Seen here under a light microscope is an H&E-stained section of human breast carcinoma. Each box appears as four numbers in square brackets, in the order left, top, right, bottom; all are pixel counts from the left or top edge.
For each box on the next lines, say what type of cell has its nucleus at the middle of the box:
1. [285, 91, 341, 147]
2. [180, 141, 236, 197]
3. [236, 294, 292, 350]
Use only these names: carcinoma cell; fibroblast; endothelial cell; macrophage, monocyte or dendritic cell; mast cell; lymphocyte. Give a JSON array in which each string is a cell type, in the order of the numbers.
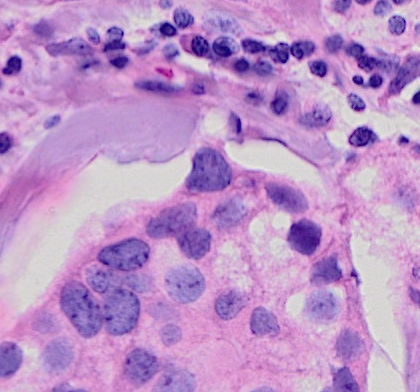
["macrophage, monocyte or dendritic cell", "carcinoma cell", "carcinoma cell"]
